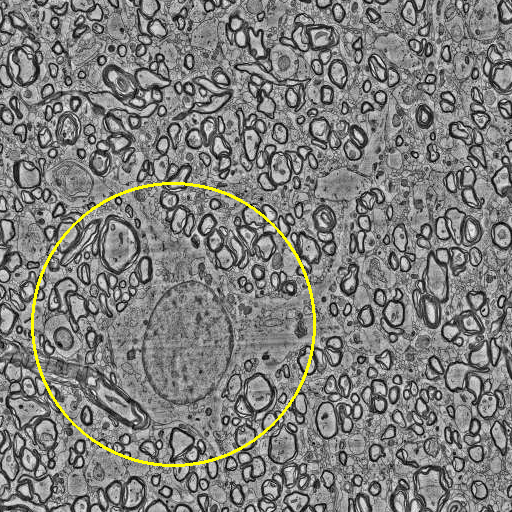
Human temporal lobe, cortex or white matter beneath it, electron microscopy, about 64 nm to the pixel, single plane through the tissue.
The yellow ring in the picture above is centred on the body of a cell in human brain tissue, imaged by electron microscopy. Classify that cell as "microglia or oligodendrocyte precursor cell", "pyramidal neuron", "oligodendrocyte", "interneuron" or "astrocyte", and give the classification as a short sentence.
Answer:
The cell in the middle of the ring is an astrocyte.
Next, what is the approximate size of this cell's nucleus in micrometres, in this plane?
Approximately 8 micrometres long and 6 micrometres wide, in this plane.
